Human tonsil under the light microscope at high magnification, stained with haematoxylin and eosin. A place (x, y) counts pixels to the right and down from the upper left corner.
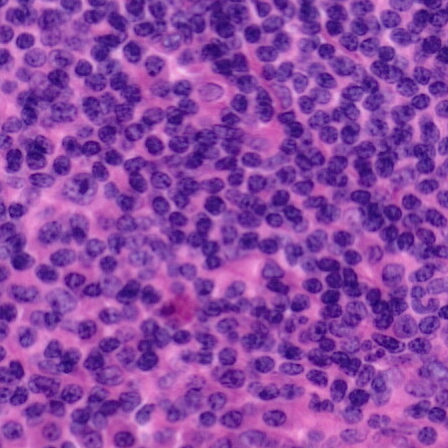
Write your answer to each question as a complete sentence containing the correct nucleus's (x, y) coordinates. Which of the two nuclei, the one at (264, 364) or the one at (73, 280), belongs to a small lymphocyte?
Among the two nuclei, the one lying at (264, 364) is part of a small lymphocyte.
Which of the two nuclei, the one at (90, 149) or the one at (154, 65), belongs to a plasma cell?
Located at (154, 65), this nucleus is the one belonging to a plasma cell.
